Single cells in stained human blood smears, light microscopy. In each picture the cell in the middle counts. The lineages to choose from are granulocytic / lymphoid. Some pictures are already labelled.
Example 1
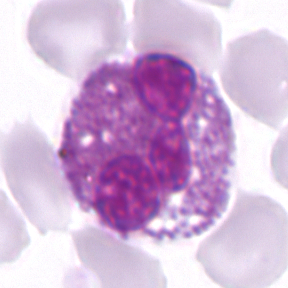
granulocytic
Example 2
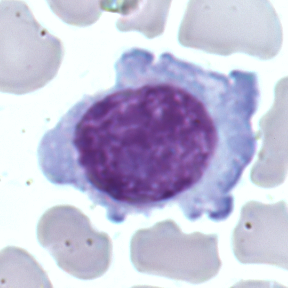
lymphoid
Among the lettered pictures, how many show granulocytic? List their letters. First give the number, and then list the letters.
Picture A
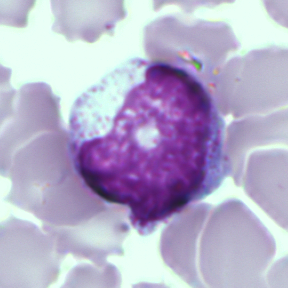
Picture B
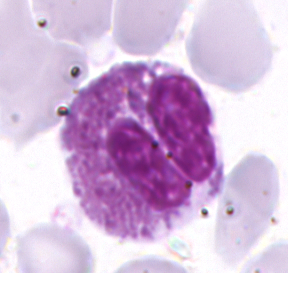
2, namely A, B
